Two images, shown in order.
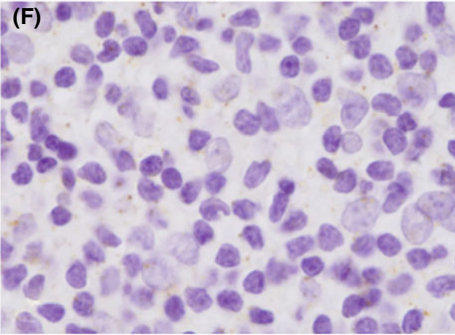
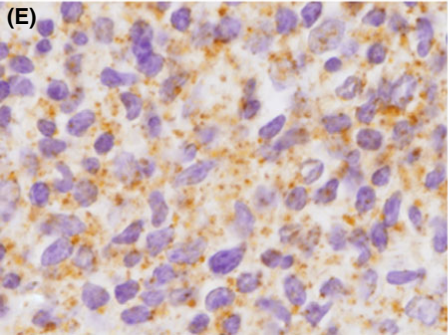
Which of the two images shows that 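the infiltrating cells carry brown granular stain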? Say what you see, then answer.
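The second image. First image: densely packed nuclei with almost no brown stain. Second image: brown granules are scattered among and around the packed nuclei.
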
